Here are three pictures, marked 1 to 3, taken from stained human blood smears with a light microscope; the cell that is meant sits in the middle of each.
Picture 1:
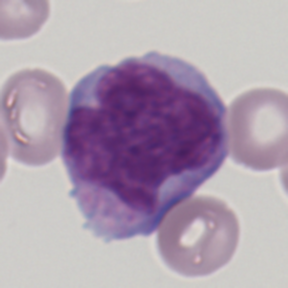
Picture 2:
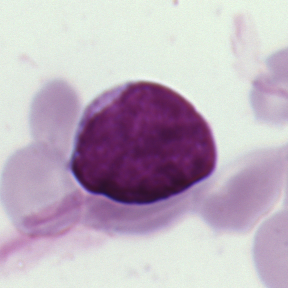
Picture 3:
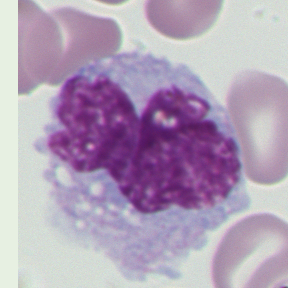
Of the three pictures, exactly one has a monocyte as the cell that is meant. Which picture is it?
3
